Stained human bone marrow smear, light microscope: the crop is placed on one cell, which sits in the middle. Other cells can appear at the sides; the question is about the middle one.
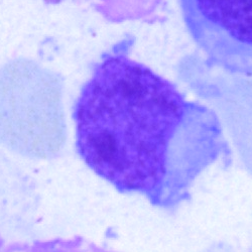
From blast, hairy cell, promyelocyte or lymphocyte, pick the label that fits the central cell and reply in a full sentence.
The cell in the middle of the field of view is a hairy cell.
